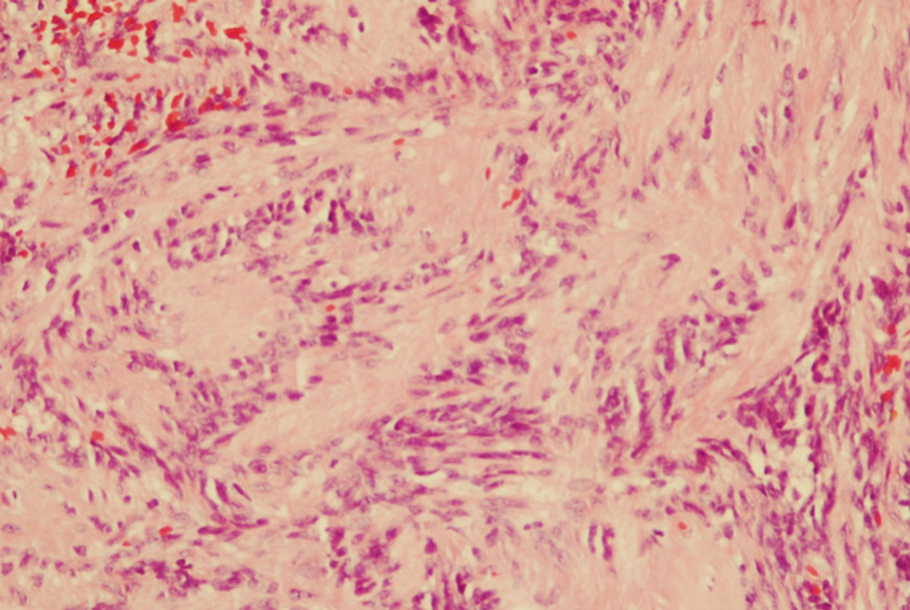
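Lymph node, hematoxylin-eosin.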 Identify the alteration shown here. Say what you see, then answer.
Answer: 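Spindle-shaped cells with elongated purple nuclei are arranged in streaming fascicles and palisade-like rows. The rows of spindle cells border pale pink, hypocellular fibrillary areas. Scattered red blood cells are present, most densely at the upper left. The answer: palisaded myofibroblastoma.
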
